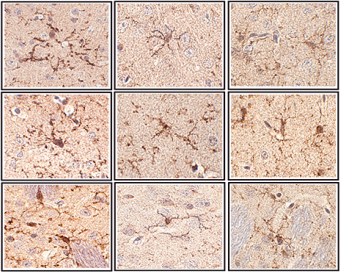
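This is a grid of small brightfield views of brain tissue, in which scattered cells stand out in brown against a pale background dotted with bluish-grey nuclei. The brown cells have small, irregular bodies from which several thin processes branch out in different directions, giving them a ramified, spidery look. They lie well apart from one another among many unstained nuclei of other cells. In some of the views the brown cells appear fewer and their processes less extensive than in others. Small branched cells of this kind spread through brain tissue are microglia.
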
